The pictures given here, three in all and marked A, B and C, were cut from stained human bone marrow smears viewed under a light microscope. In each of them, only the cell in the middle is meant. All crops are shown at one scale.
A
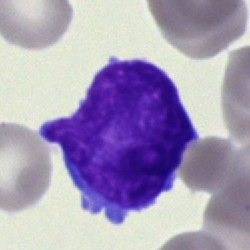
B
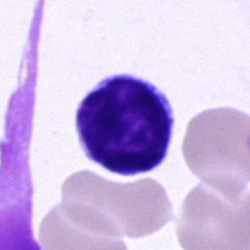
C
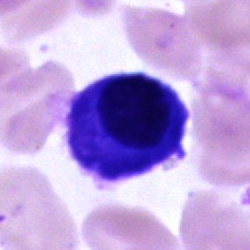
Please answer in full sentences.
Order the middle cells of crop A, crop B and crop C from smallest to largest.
Smallest first: B, C, A.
